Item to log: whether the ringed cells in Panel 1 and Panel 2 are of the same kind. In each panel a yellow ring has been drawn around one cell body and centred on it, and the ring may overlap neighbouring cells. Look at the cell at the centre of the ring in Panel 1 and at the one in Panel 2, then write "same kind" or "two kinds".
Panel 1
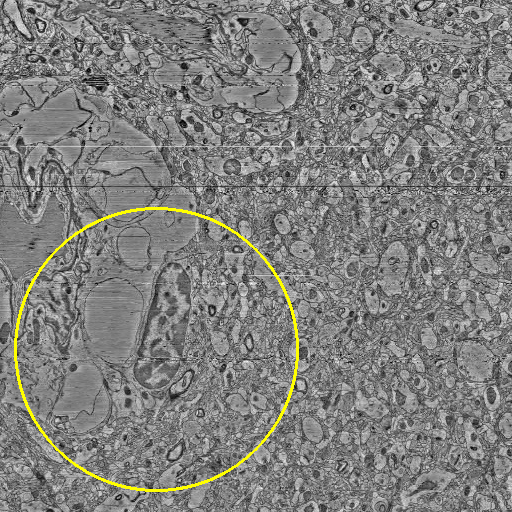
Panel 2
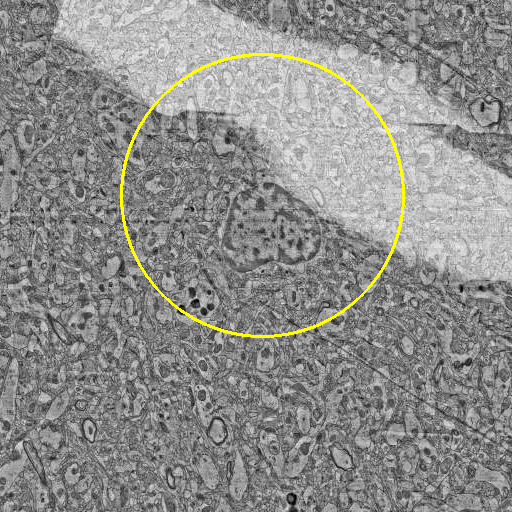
same kind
